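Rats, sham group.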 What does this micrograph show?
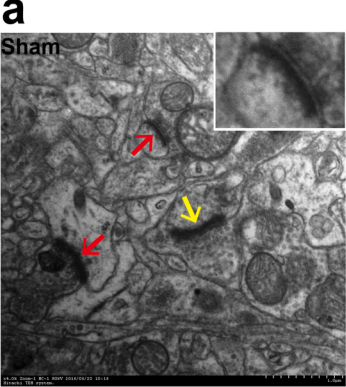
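Densely packed neuropil seen by electron microscopy: many rounded and irregular membrane-bound profiles of neuronal processes, several containing mitochondria with visible cristae. At a few points two profiles meet with a dark, electron-dense thickening lining one of the apposed membranes, and small pale vesicles cluster near the opposing side. The enlarged view at the upper right shows one such contact as a curved, distinct dark band. These contacts are synapses, with their thickened postsynaptic membrane, scattered among axonal and dendritic profiles.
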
